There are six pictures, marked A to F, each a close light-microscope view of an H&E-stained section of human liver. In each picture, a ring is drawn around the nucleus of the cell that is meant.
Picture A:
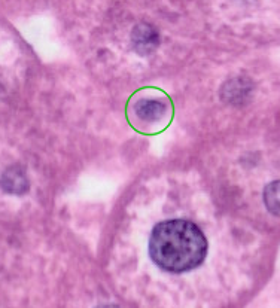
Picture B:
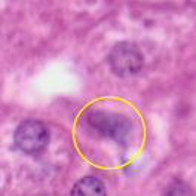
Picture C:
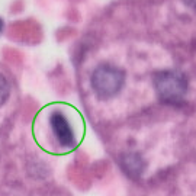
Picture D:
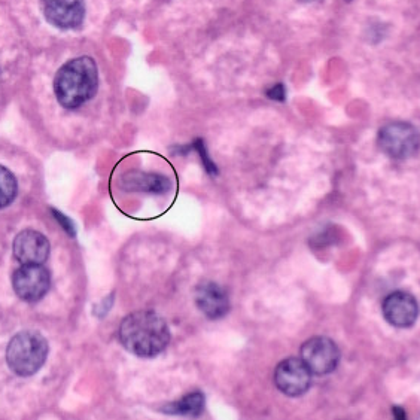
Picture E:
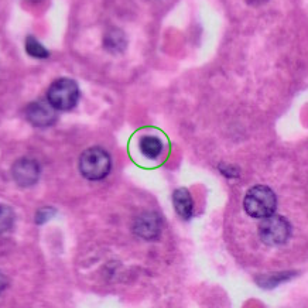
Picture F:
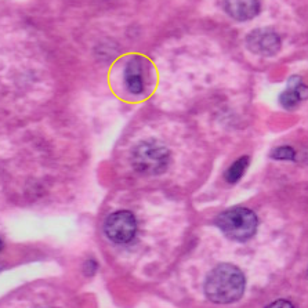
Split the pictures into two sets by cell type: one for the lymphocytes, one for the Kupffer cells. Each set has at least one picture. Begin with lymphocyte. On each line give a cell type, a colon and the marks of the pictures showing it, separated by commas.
lymphocyte: C, E
Kupffer cell: A, B, D, F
